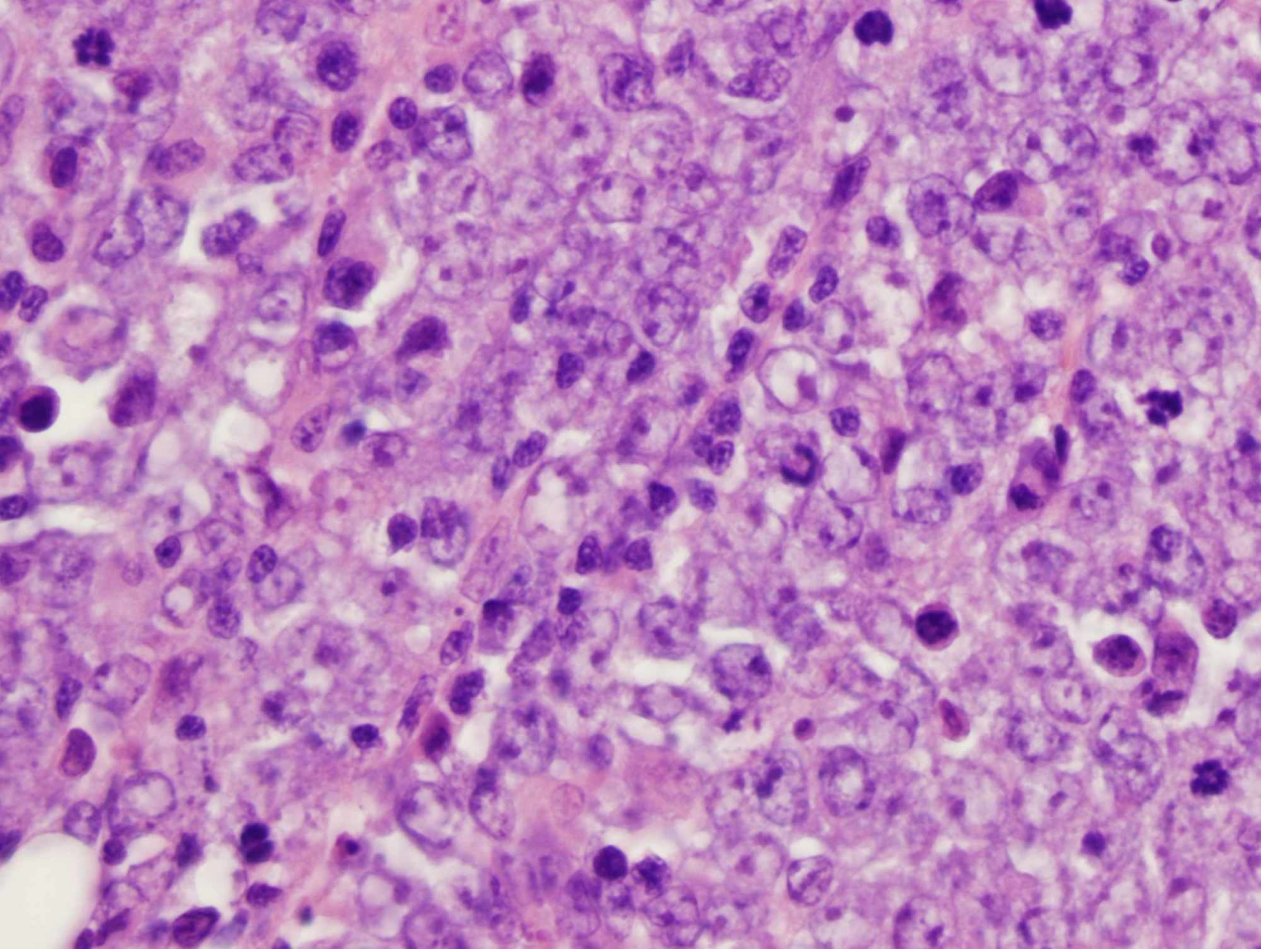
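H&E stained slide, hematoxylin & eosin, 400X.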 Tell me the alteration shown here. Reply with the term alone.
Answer: Diffuse tumor growth pattern with sheets of malignant cells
